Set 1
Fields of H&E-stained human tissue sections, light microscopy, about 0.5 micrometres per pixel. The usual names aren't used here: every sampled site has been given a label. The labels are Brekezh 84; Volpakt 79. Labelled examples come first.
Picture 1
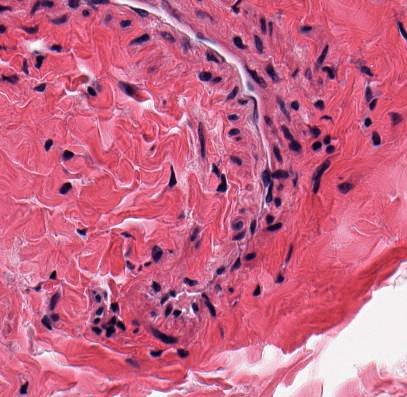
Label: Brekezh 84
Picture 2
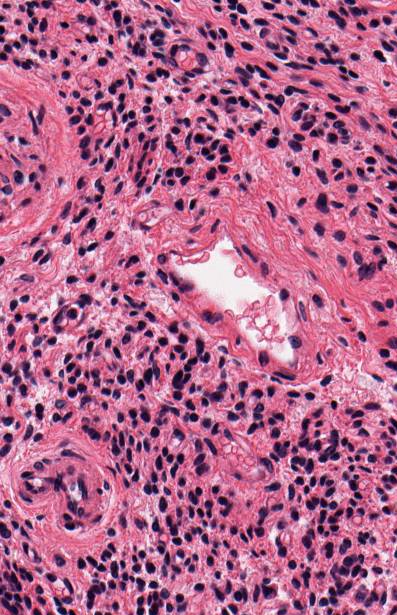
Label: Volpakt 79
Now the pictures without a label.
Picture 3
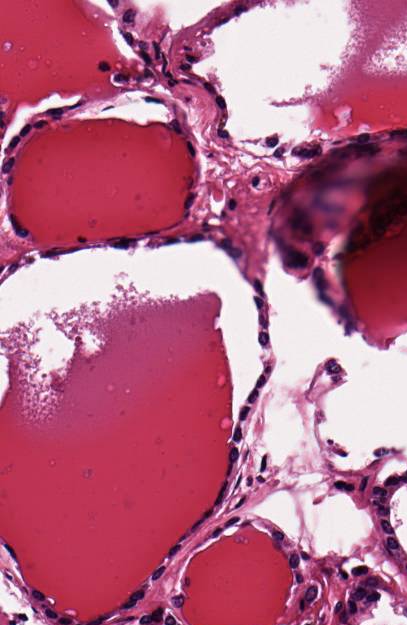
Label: Brekezh 84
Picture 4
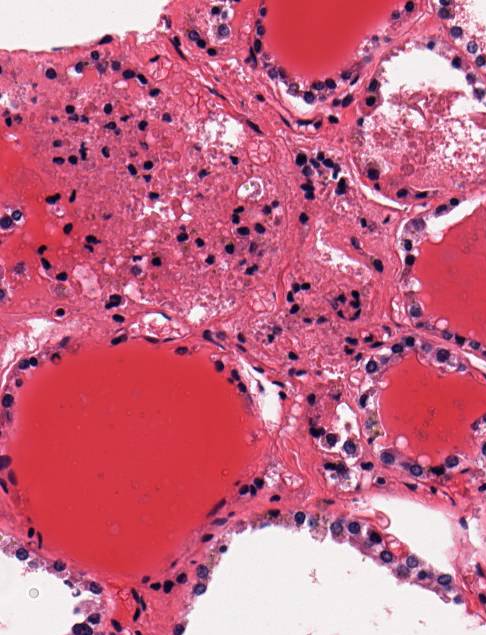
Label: Brekezh 84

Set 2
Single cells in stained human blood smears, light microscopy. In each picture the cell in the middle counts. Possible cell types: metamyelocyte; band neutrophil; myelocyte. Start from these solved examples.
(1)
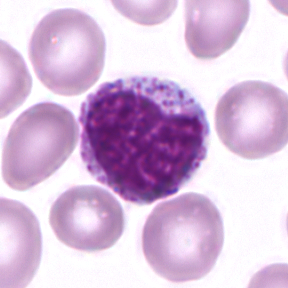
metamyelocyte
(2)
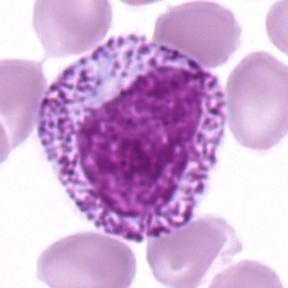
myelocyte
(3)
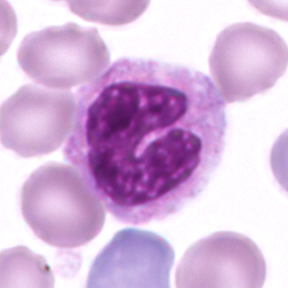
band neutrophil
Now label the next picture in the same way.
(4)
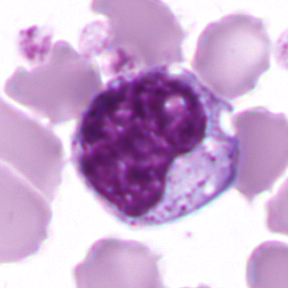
metamyelocyte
